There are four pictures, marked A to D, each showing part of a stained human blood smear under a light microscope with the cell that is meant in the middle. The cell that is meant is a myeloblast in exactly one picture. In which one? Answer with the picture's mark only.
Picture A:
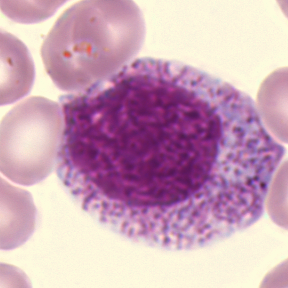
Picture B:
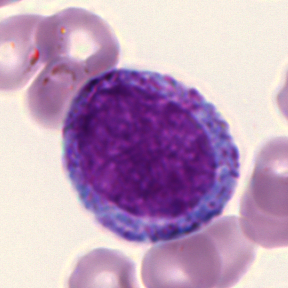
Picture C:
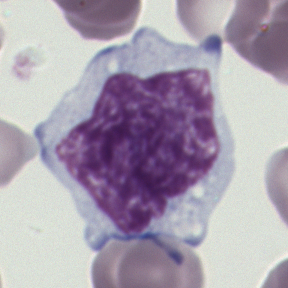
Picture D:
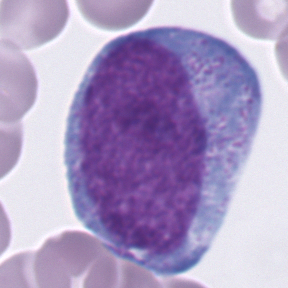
C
